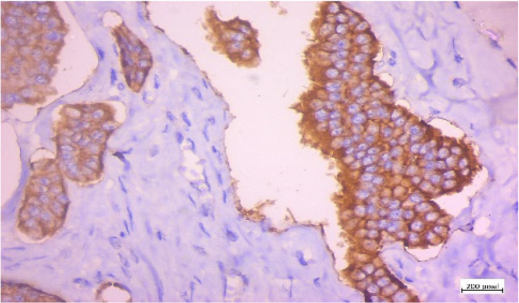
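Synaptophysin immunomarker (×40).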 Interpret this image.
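These are tumour cells in nests and clusters that show diffuse brown cytoplasmic staining. The cells are closely packed, with round to oval nuclei that remain blue and unstained. The brown colour fills the cytoplasm around each nucleus and is strongest at the edges of the groups. The tumour groups lie in pale blue fibrous stroma with scattered spindle-shaped nuclei. Open spaces separate the tumour clusters from the stroma.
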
